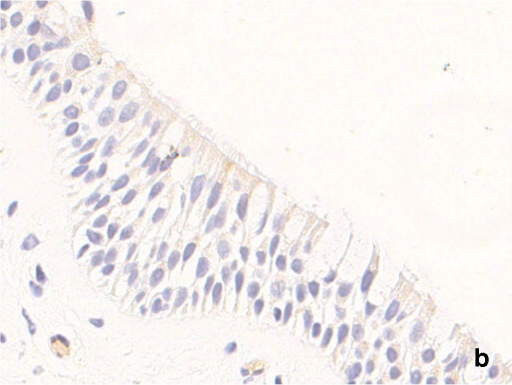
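Respiratory epithelium at high magnification, a tall sheet of columnar cells with oval blue nuclei stacked at several levels. The luminal surface shows a fringe of cilia that is pale, with only faint tan tinge and no strong brown. Cytoplasm of the columnar cells is pale. Beneath the epithelium lies loose pale connective tissue with a few scattered nuclei and a small brownish cell.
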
